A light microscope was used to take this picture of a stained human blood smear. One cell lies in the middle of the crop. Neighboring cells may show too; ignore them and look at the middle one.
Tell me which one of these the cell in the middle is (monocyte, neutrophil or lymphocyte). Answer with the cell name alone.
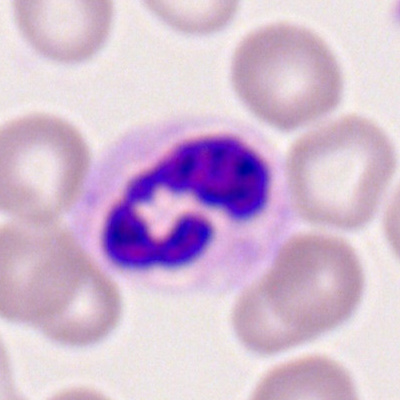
neutrophil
